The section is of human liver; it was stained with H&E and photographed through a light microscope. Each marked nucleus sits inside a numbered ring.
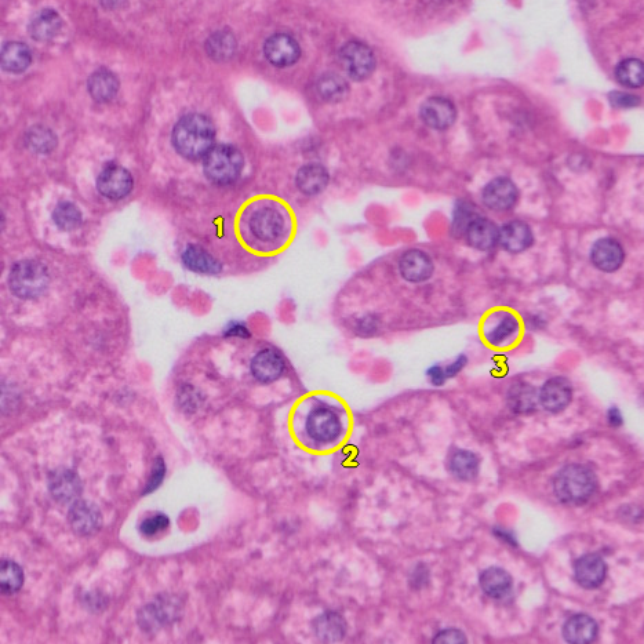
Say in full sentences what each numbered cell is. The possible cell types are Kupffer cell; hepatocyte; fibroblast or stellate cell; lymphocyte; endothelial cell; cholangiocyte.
Cell 1 is a hepatocyte, cell 2 is a hepatocyte and cell 3 is a Kupffer cell.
